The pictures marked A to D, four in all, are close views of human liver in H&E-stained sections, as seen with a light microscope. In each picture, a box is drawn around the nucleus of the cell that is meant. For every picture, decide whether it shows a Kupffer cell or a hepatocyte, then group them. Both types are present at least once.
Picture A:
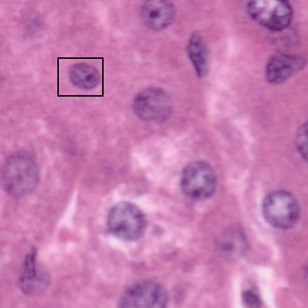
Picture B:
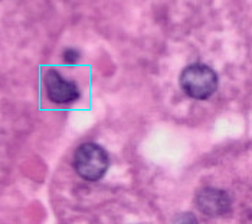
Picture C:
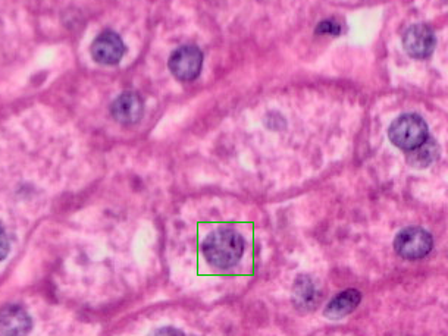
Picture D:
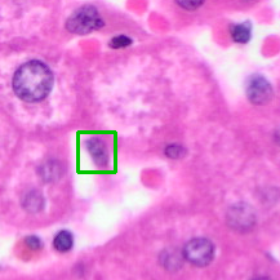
A: hepatocyte
B: Kupffer cell
C: hepatocyte
D: Kupffer cell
